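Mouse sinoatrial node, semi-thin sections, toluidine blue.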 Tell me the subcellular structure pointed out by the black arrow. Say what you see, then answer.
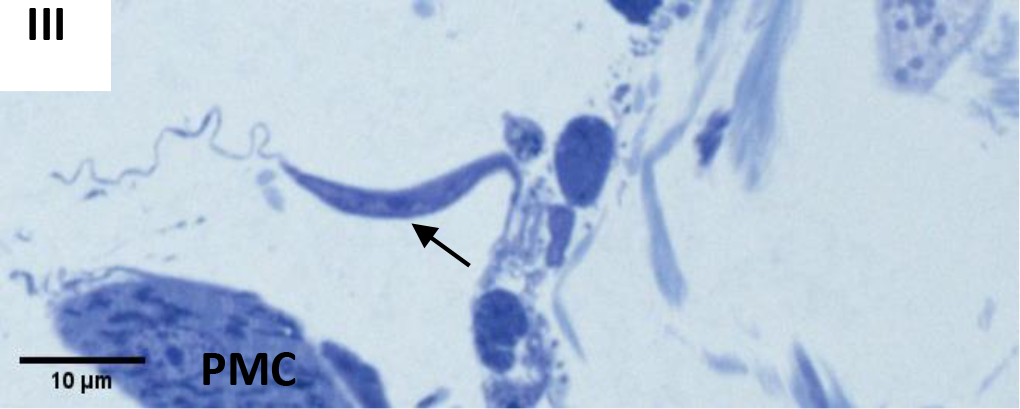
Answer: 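The arrow points to an elongated dark-blue body within a curved fusiform cell. A long thin wavy extension leaves one end of the cell.
Conclusion: nuclei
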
